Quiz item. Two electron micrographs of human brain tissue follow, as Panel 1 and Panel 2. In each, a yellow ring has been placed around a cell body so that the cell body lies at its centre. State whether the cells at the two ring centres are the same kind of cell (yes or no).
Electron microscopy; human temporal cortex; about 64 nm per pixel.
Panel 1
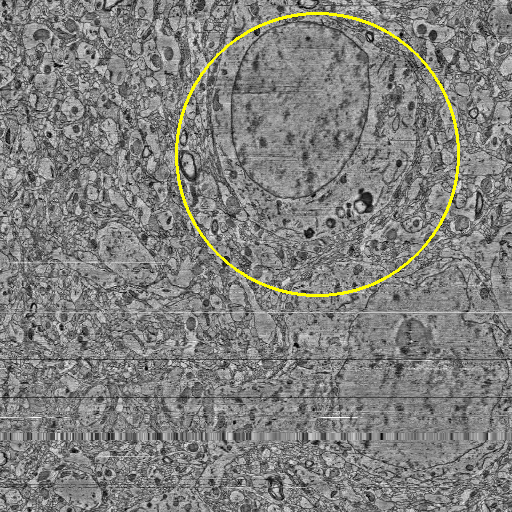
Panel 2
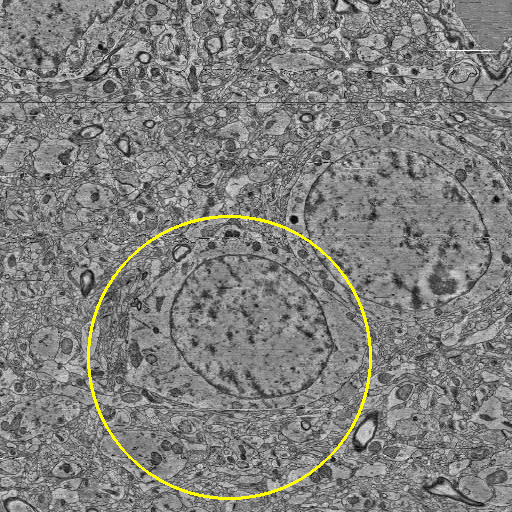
yes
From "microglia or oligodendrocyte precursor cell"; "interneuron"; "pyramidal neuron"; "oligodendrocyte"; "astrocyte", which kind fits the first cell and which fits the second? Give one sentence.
Both the first and the second picture show a pyramidal neuron in the ring.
